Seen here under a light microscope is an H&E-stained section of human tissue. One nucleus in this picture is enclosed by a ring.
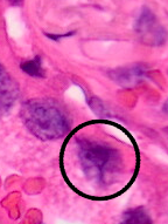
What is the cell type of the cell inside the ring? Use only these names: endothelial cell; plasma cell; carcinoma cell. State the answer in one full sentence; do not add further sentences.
As to its cell type, the cell inside the ring is a carcinoma cell.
